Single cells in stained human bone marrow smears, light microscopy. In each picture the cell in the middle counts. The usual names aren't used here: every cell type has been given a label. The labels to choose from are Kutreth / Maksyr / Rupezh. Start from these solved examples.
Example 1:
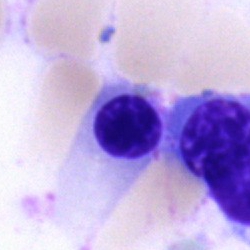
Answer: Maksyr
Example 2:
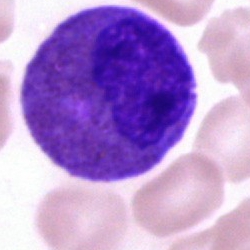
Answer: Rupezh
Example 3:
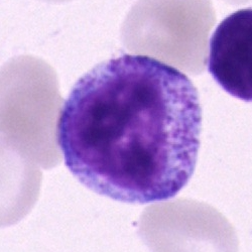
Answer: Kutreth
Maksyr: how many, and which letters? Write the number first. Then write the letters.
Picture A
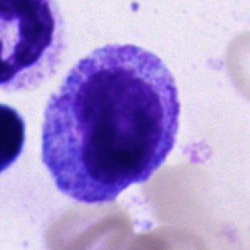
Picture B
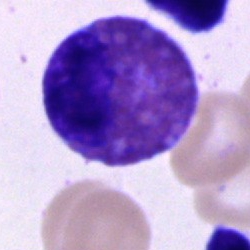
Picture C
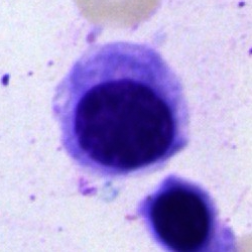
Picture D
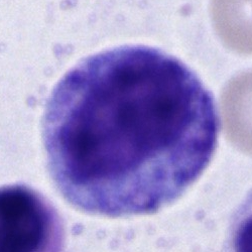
1: C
